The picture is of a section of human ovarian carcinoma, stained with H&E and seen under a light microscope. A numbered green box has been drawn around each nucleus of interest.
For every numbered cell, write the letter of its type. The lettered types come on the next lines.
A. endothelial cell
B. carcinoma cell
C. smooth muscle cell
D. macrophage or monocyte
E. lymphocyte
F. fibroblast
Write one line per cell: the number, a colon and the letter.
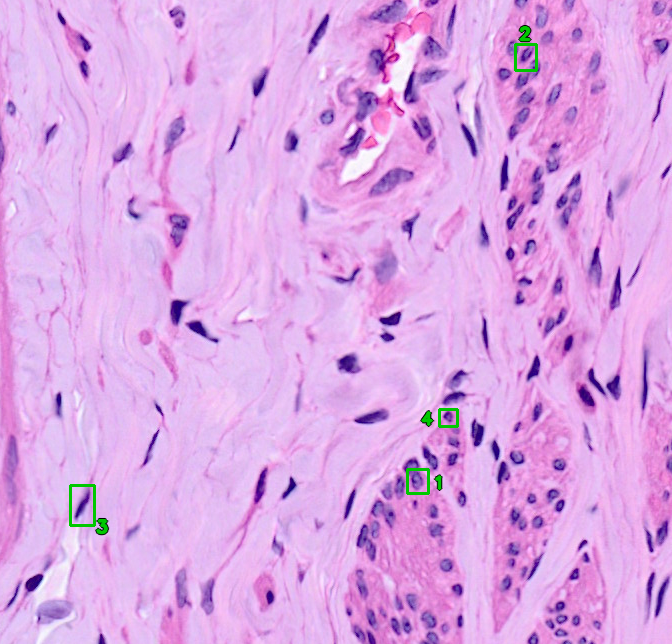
1: C
2: C
3: F
4: C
